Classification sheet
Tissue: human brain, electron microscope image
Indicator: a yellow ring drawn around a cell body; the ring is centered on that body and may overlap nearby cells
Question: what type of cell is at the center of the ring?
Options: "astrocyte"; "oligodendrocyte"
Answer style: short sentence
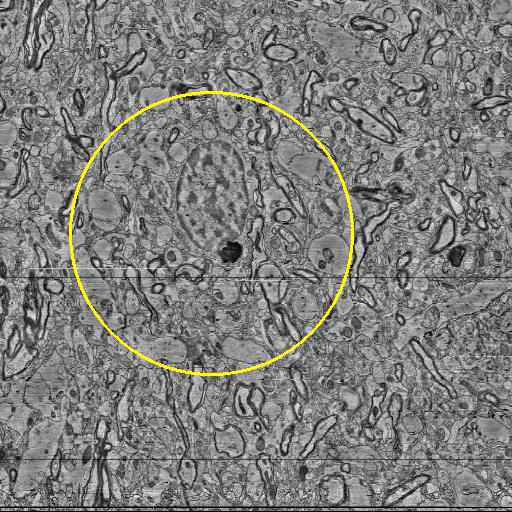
At the ring's center is an oligodendrocyte.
